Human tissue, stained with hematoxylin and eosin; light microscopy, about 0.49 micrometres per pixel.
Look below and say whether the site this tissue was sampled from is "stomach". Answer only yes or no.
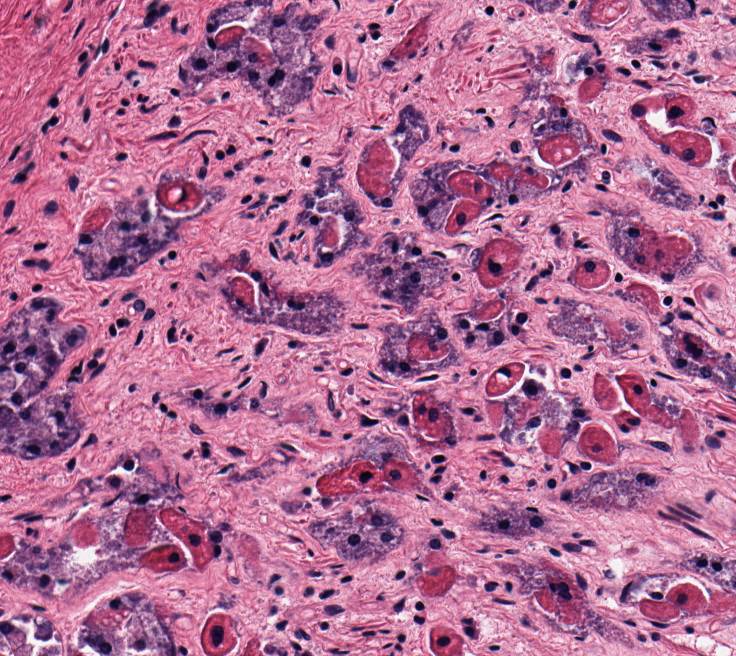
yes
